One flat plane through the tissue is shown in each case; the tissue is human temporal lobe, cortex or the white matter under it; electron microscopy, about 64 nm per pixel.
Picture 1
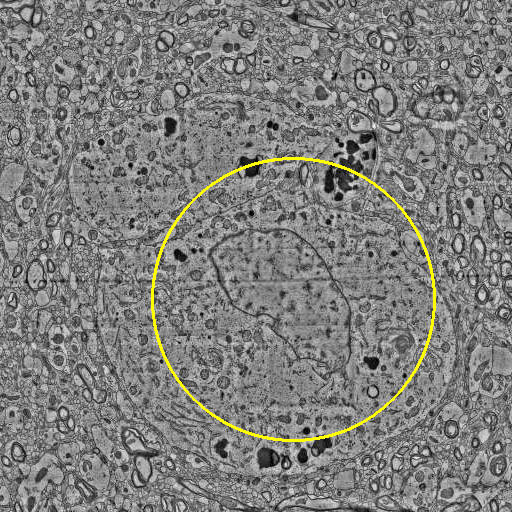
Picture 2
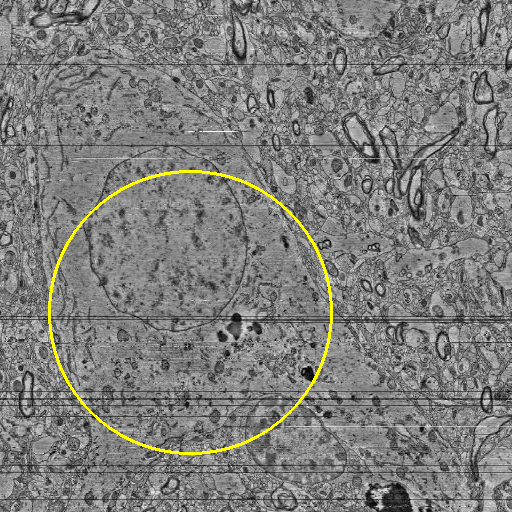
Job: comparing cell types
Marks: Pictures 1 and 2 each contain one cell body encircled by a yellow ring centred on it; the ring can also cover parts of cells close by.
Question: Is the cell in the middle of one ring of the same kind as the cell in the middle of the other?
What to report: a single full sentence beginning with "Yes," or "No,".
Yes, the cell at the ring centre in Picture 1 and its partner in Picture 2 are of one kind.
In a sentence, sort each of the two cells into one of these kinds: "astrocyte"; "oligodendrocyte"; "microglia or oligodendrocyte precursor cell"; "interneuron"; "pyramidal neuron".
Both cells are the same kind, each one being a pyramidal neuron.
